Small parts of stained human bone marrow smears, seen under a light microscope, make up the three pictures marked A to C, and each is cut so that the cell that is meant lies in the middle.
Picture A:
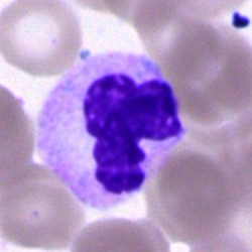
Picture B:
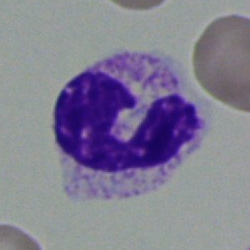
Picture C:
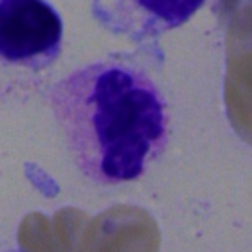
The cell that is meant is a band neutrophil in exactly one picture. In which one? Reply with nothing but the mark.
B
